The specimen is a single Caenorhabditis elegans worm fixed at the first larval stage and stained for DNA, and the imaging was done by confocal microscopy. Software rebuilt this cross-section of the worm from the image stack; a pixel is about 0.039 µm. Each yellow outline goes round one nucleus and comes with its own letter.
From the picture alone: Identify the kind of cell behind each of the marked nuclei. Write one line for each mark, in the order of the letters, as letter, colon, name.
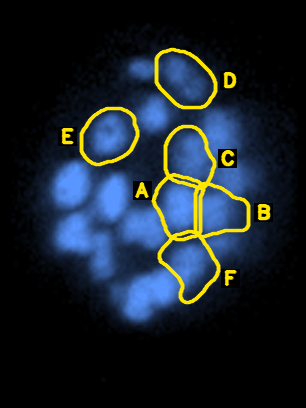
A: neuron
B: neuron
C: pharyngeal gland cell
D: body wall muscle cell
E: pharyngeal gland cell
F: neuron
